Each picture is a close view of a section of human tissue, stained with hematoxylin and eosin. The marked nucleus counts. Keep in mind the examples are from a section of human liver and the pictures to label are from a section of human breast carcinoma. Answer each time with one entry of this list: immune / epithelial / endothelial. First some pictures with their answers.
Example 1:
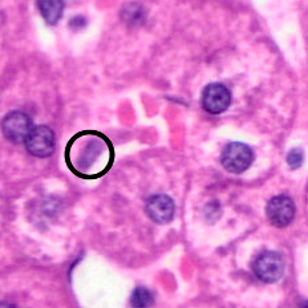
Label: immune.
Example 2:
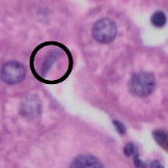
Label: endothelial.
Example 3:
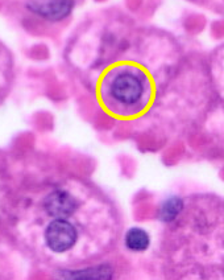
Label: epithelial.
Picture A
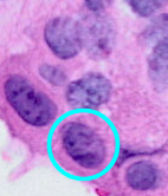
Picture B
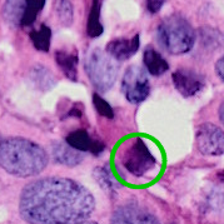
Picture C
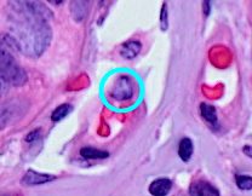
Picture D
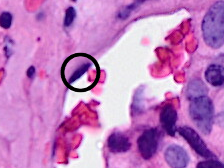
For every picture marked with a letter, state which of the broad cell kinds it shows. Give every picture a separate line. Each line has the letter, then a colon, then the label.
A: epithelial.
B: epithelial.
C: endothelial.
D: endothelial.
